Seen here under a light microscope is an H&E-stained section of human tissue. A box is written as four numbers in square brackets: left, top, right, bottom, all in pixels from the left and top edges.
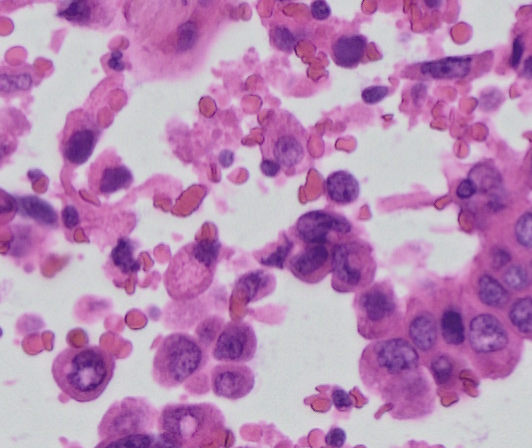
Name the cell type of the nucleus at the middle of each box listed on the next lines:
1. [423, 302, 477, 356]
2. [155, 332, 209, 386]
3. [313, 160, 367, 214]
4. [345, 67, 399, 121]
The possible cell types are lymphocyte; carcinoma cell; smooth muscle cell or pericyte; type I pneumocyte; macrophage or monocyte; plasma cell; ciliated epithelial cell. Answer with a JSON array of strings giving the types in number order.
["carcinoma cell", "carcinoma cell", "carcinoma cell", "lymphocyte"]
